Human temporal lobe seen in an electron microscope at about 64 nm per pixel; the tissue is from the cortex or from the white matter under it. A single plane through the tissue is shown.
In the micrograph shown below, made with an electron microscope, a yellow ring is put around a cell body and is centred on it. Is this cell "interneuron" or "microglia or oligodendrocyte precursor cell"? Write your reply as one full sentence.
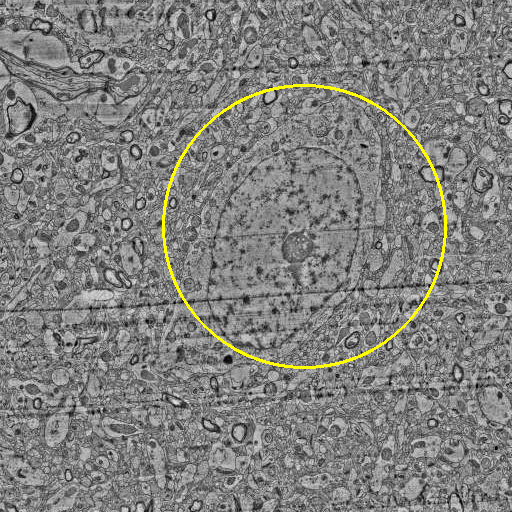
In the micrograph, an interneuron is the cell at the centre of the yellow ring.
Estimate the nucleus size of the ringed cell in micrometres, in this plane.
The ringed cell's nucleus measures approximately 14 by 10 micrometres in this plane.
